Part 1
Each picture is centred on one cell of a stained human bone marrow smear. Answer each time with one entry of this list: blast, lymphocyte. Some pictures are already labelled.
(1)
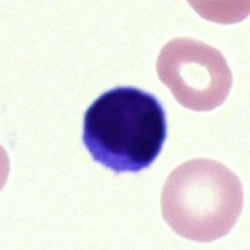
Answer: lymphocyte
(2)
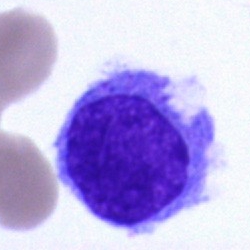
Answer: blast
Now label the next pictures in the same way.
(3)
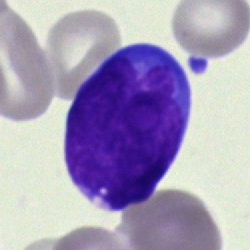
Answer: blast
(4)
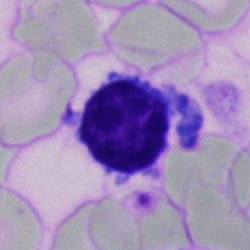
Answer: lymphocyte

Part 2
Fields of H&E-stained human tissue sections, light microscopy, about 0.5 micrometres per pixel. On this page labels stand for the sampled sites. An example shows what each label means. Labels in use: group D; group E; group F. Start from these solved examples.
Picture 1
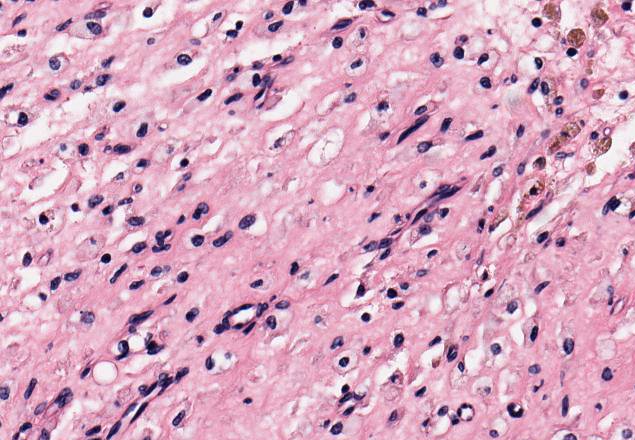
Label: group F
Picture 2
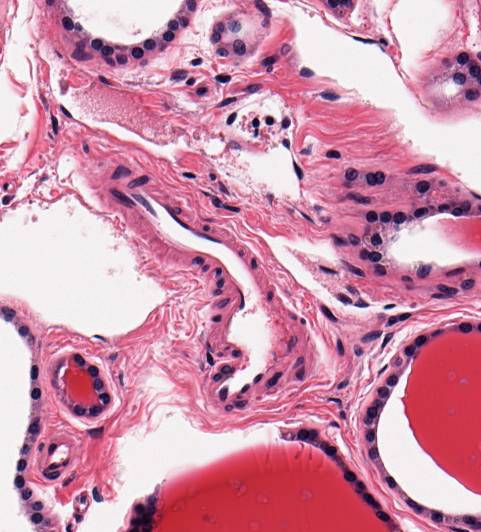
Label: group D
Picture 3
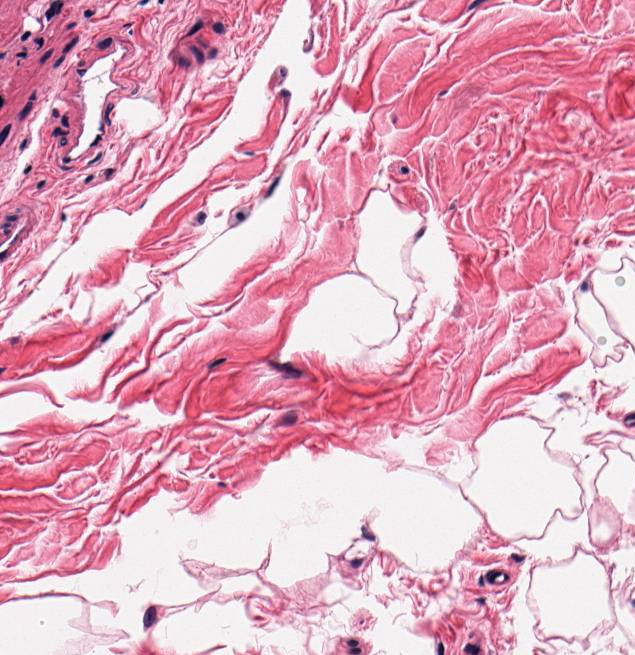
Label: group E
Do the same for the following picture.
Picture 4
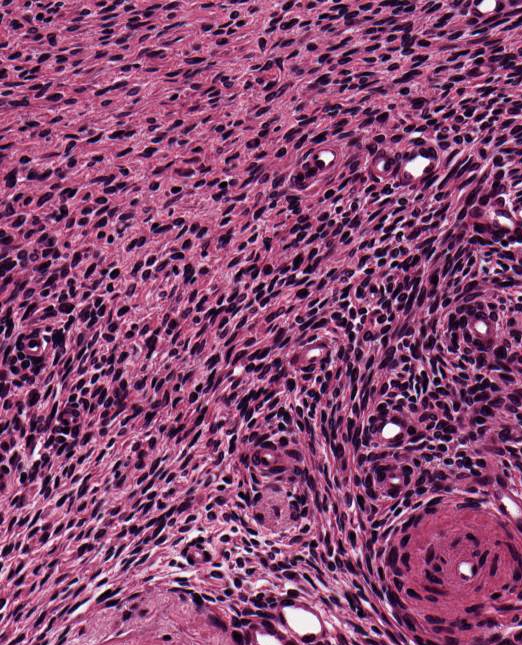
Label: group F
